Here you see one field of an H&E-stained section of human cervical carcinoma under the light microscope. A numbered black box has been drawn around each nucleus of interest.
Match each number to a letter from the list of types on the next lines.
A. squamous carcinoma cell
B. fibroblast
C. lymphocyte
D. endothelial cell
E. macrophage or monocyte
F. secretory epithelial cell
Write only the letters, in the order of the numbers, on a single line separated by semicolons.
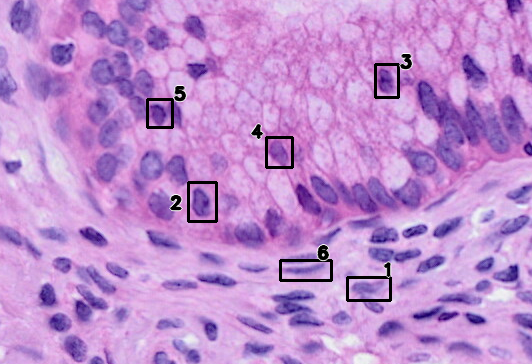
B; F; F; F; F; B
